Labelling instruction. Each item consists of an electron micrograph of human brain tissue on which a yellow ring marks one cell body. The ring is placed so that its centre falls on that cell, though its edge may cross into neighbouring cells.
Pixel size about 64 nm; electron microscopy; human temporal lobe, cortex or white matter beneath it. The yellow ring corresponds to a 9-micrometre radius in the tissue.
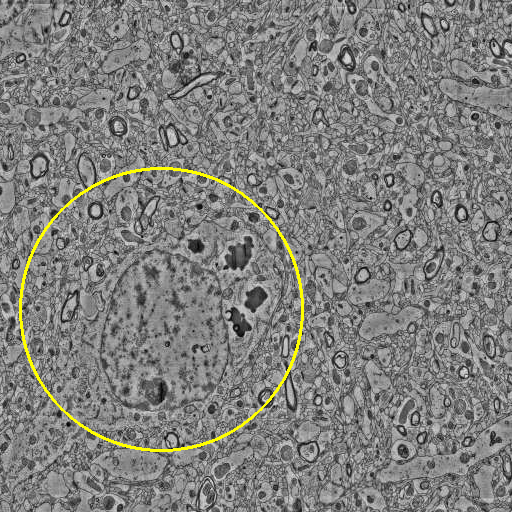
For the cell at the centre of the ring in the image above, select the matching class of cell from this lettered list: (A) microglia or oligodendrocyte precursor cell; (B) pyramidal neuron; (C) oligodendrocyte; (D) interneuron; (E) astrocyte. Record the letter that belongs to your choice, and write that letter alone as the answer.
D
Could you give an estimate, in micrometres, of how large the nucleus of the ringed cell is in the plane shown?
The nucleus appears roughly 10 by 8 micrometres in this plane.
